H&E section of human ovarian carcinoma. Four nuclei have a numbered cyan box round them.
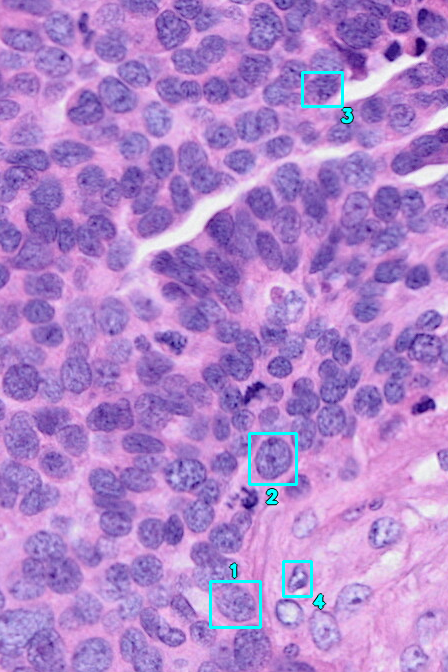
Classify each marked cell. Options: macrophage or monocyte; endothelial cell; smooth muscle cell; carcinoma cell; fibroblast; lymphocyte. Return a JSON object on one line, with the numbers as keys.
{"1": "carcinoma cell", "2": "carcinoma cell", "3": "carcinoma cell", "4": "fibroblast"}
